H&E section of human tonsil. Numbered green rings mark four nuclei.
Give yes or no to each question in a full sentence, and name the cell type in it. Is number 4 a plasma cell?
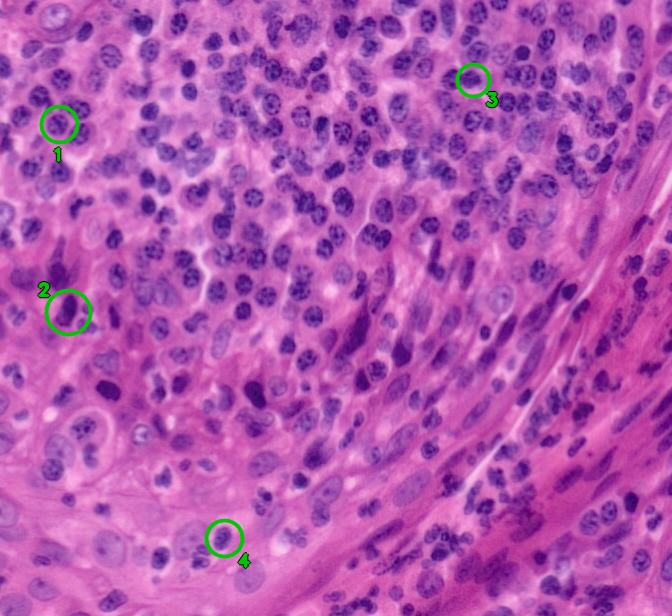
No, in terms of cell type, cell 4 is a squamous epithelial cell, not a plasma cell.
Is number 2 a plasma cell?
No, not a plasma cell: the cell with number 2 is a squamous epithelial cell.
